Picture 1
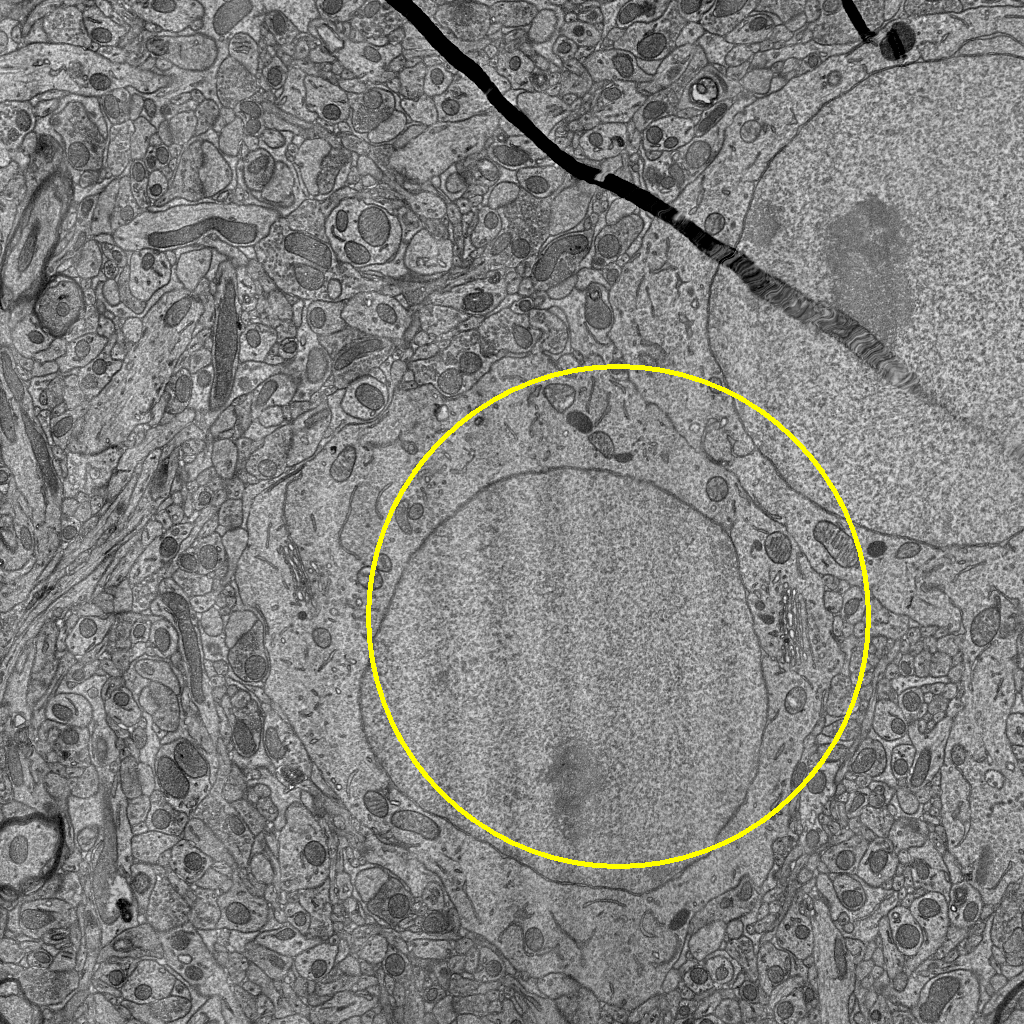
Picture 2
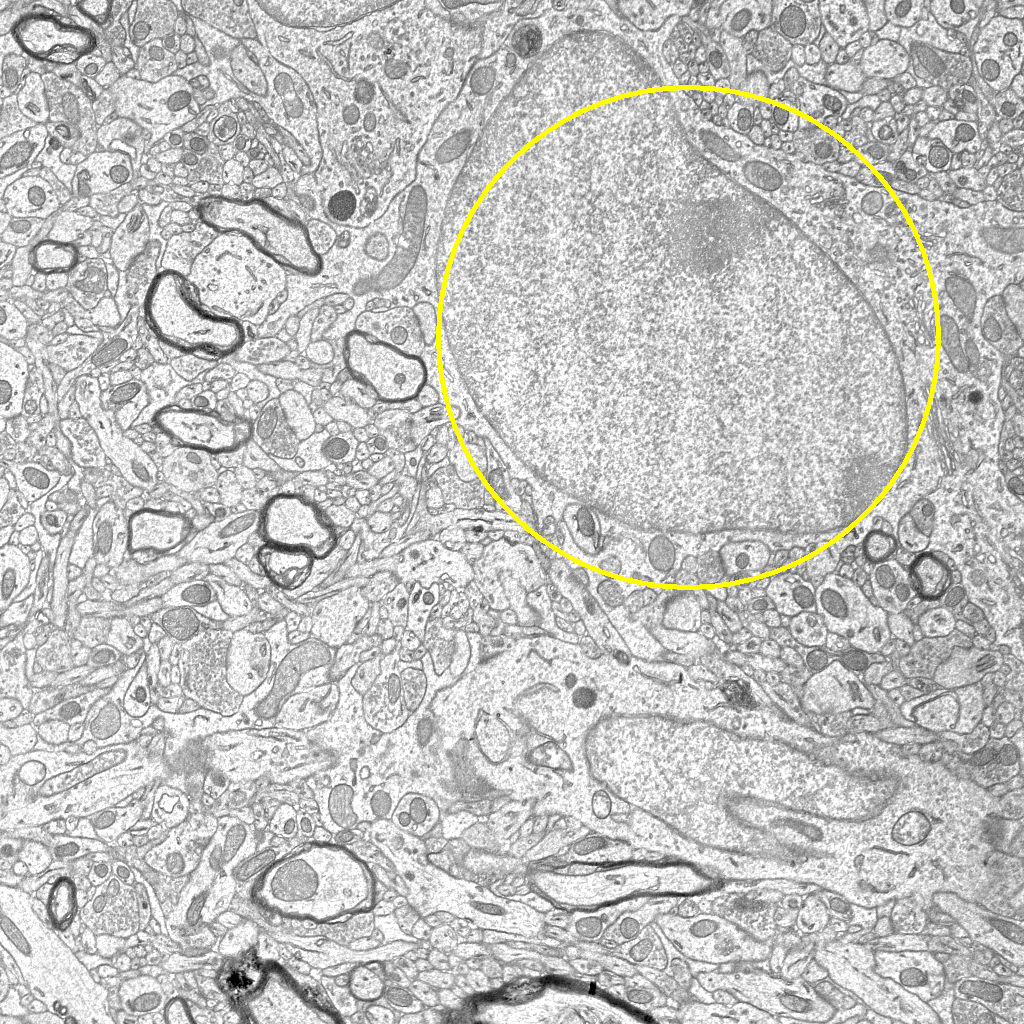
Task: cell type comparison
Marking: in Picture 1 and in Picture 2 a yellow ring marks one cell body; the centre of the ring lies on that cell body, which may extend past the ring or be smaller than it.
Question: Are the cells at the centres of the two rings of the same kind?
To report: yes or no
no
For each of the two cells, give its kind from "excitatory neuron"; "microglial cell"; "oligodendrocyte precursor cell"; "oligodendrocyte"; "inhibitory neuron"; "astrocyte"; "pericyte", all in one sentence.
The first ring encloses an excitatory neuron; the second ring encloses an astrocyte.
